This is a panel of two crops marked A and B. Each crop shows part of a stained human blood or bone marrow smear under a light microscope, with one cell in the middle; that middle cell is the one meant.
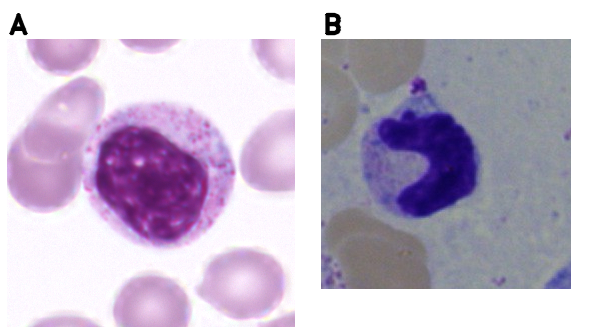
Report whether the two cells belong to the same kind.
no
